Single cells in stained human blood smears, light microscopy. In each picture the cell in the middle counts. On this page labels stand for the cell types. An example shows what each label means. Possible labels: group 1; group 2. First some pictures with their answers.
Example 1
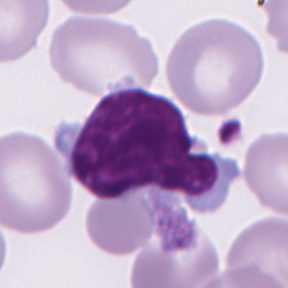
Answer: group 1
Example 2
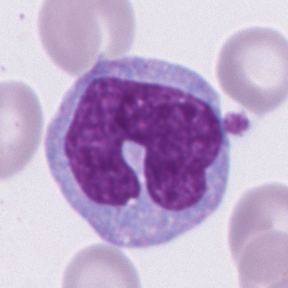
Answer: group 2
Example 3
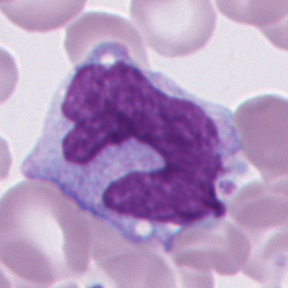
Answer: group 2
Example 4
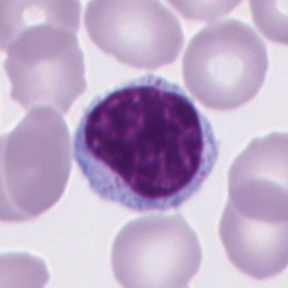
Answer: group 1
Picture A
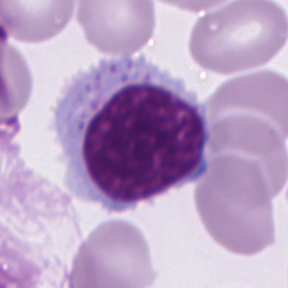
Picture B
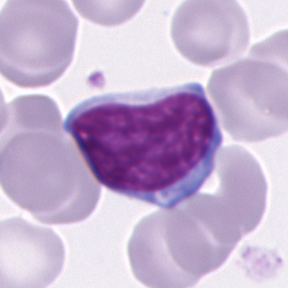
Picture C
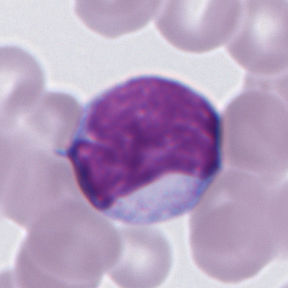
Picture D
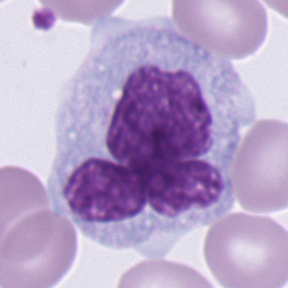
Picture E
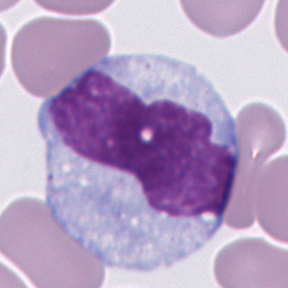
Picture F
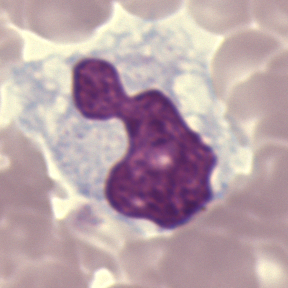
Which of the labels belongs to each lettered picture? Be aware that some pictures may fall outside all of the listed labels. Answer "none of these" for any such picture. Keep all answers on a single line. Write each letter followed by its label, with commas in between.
A none of these, B group 1, C none of these, D group 2, E group 2, F group 2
